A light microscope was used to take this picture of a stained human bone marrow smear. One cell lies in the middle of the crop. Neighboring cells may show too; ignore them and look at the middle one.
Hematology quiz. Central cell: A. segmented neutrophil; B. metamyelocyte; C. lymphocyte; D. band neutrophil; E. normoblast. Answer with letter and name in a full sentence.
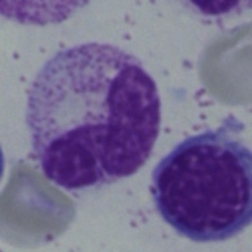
Option D is the right one, for the cell in the middle is a band neutrophil.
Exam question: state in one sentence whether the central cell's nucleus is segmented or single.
The nuclear material is gathered into one compact round, oval or kidney-shaped mass.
